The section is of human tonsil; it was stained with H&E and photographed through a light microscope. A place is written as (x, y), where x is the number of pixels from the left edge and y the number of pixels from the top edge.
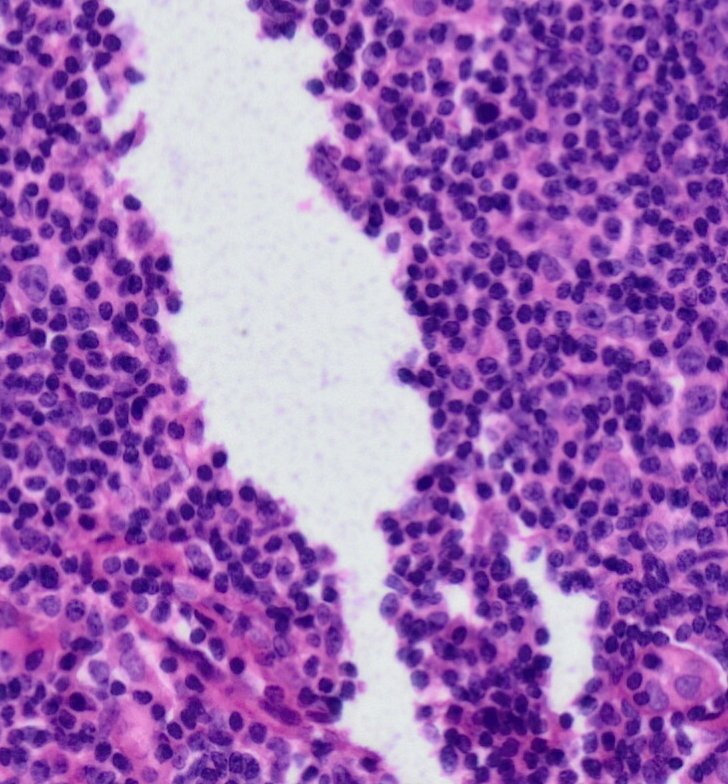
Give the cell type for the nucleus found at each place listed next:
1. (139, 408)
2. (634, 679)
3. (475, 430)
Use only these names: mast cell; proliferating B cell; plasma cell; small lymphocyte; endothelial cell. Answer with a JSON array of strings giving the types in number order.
["small lymphocyte", "endothelial cell", "small lymphocyte"]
